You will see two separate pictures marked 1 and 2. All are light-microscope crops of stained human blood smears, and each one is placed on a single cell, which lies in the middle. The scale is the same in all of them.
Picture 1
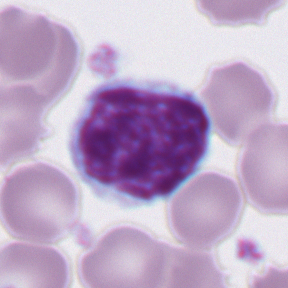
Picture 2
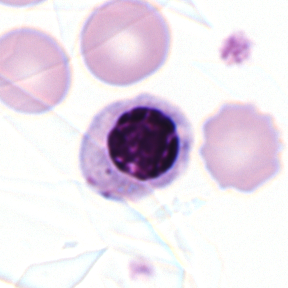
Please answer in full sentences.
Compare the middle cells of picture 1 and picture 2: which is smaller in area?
Picture 2 holds the smaller cell, since the cell in picture 1 covers about 1.5 times as much area.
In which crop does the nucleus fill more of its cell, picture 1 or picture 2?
In picture 1 the nucleus takes up the larger part of its cell.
